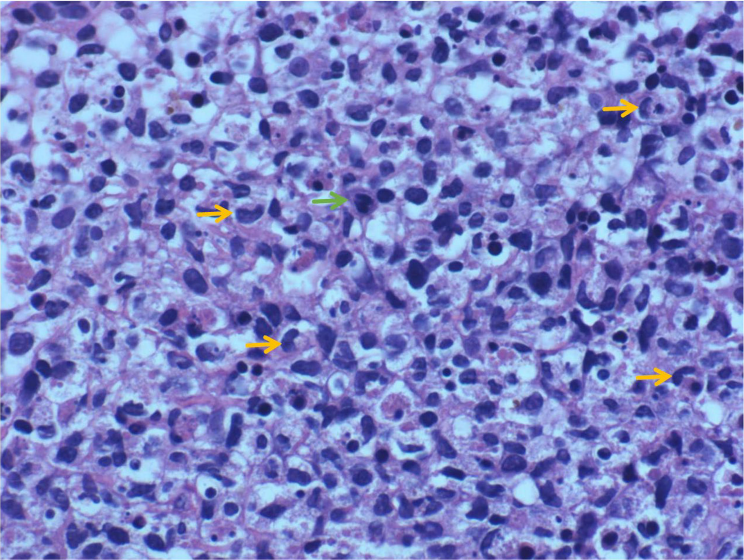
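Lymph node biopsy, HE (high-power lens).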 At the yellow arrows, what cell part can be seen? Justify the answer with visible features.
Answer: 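The yellow arrows point to cells whose dark purple nuclei are curved rather than round. These cells have pale, vacuolated-looking cytoplasm beside the curved nucleus.
Answer: crescent-shaped nuclei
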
